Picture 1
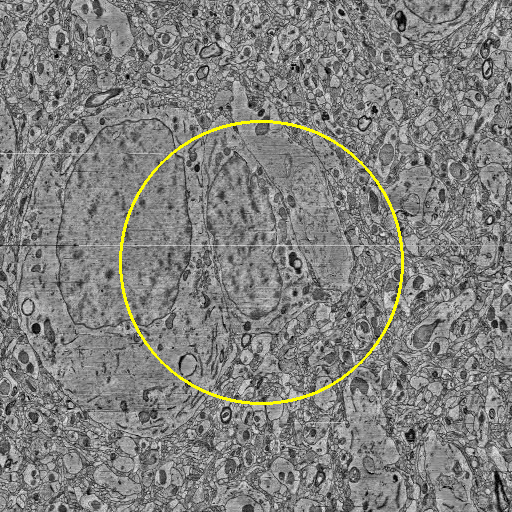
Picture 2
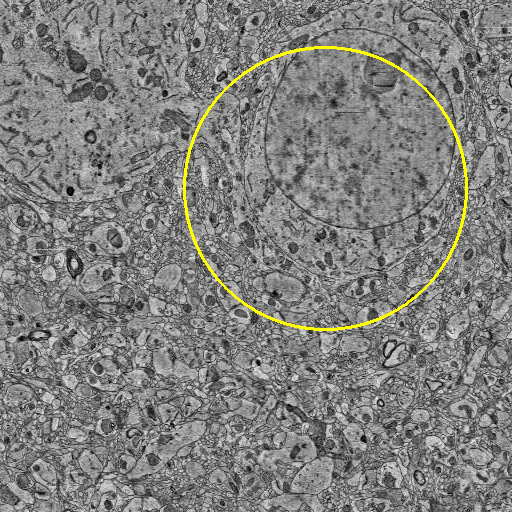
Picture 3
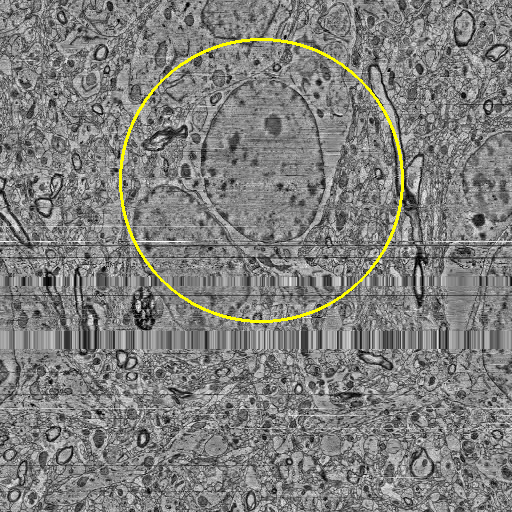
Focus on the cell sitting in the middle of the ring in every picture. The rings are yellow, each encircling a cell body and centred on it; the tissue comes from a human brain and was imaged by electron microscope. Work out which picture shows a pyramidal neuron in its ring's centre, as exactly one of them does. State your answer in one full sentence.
In picture 2, the ring is centred on the cell in question.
